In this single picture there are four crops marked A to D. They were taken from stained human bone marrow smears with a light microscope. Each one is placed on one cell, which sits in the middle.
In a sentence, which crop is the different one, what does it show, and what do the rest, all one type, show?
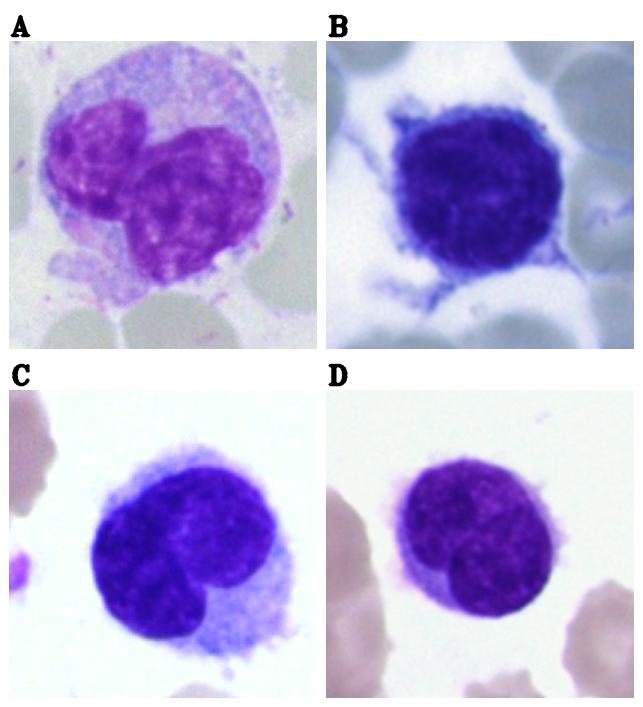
Crop A alone is a monocyte, and the other crops are all hairy cells.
